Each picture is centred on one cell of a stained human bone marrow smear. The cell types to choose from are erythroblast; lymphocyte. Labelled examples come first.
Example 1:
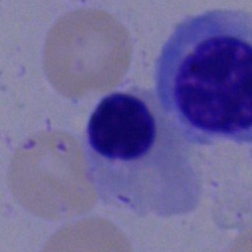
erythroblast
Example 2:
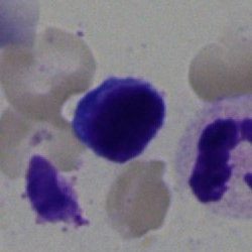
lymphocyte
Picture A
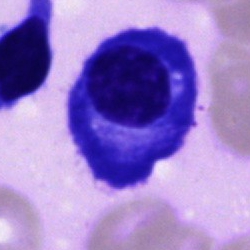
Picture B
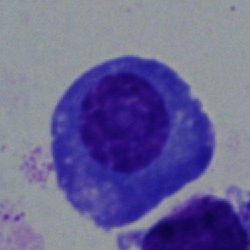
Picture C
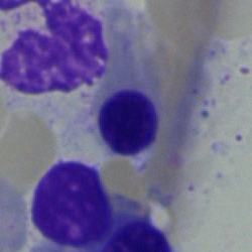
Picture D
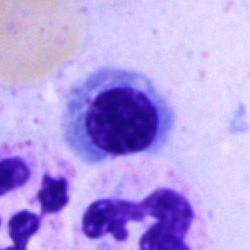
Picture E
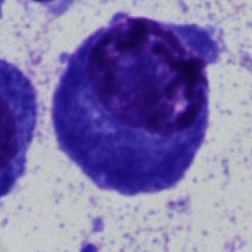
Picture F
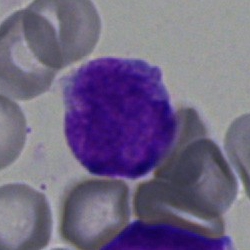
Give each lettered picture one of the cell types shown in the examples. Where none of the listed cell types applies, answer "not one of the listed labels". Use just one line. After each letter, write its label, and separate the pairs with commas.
A not one of the listed labels, B not one of the listed labels, C erythroblast, D erythroblast, E not one of the listed labels, F lymphocyte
